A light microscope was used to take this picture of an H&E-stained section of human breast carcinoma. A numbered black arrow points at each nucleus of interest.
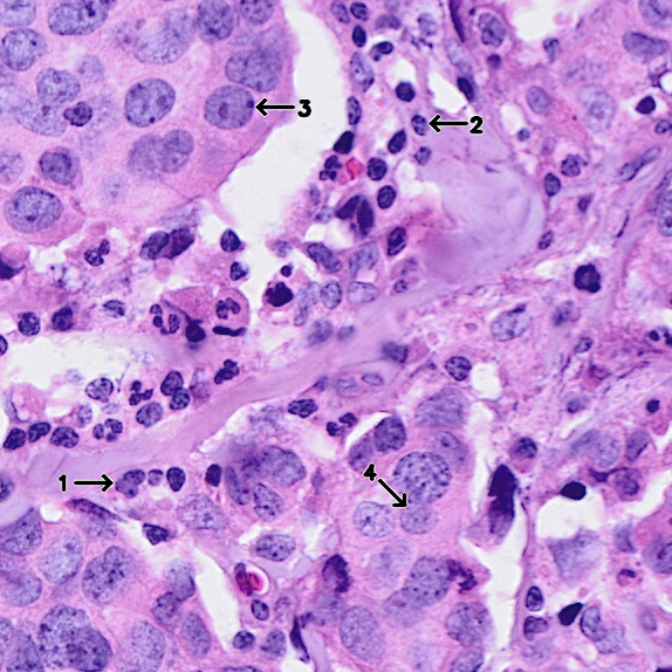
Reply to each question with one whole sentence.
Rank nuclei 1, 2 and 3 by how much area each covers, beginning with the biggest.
The nuclei rank 3, 1, 2, from largest to smallest.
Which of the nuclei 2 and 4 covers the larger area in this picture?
Number 4 is larger; its area is about 2.5 times that of number 2.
